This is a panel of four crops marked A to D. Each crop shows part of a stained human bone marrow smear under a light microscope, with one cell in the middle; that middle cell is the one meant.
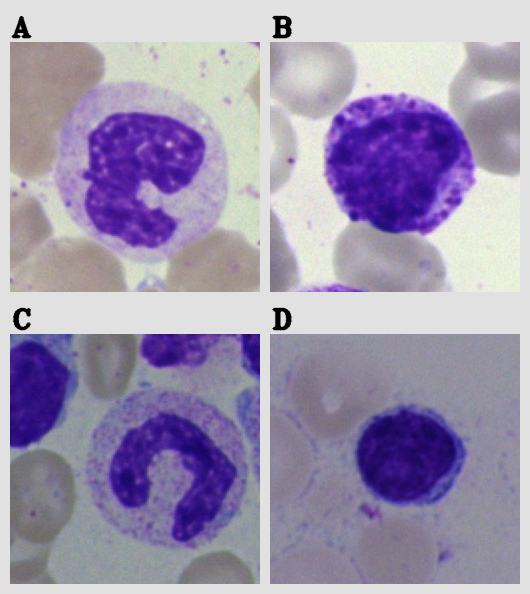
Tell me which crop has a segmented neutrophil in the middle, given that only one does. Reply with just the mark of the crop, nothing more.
A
